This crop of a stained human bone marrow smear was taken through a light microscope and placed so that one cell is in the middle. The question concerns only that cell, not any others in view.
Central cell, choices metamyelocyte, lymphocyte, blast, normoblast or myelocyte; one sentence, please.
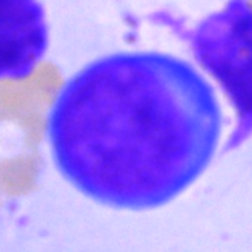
The cell in the middle of the field of view is a blast.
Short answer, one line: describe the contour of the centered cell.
You can see a smooth boundary, with no projections sticking out.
